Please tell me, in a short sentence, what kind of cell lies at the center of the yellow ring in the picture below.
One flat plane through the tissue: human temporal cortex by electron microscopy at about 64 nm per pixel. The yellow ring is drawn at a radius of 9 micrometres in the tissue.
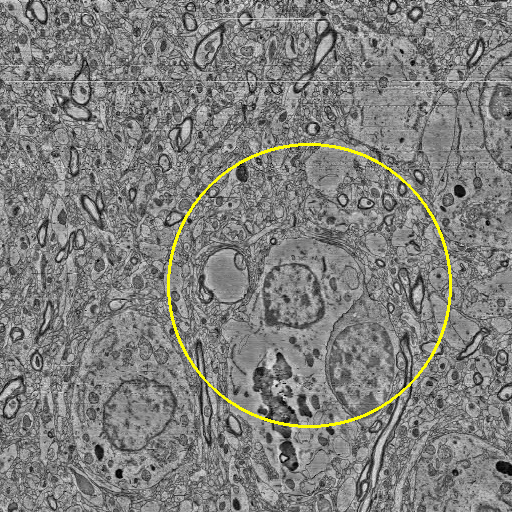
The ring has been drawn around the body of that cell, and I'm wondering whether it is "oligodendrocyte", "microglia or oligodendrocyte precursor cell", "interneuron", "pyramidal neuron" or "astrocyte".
The cell at the center of the ring is an astrocyte.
